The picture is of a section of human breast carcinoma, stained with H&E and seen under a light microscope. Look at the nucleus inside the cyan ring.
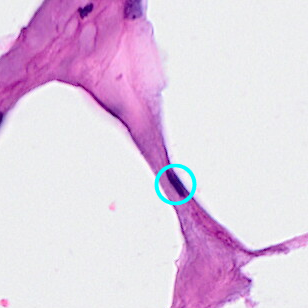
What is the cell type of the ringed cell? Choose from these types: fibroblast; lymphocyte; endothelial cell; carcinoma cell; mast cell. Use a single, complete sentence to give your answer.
With respect to cell type, the ringed cell is a fibroblast.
